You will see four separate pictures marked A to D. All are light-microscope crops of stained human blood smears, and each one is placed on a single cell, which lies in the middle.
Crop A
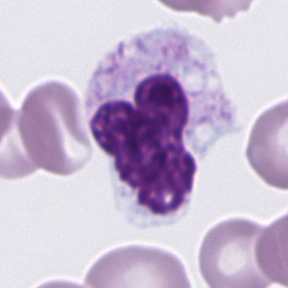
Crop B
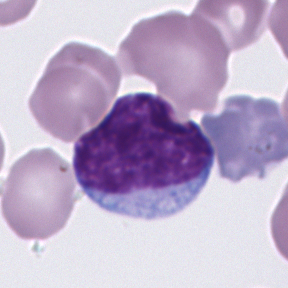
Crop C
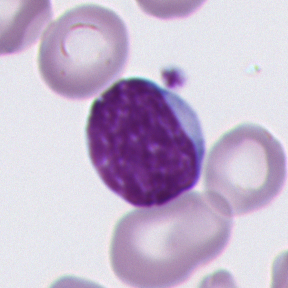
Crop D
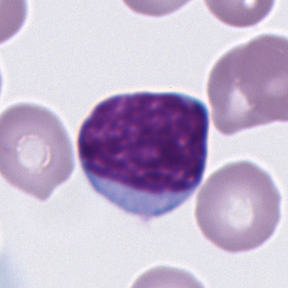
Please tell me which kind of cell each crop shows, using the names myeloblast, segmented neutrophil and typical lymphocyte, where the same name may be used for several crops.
A: segmented neutrophil
B: typical lymphocyte
C: typical lymphocyte
D: myeloblast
